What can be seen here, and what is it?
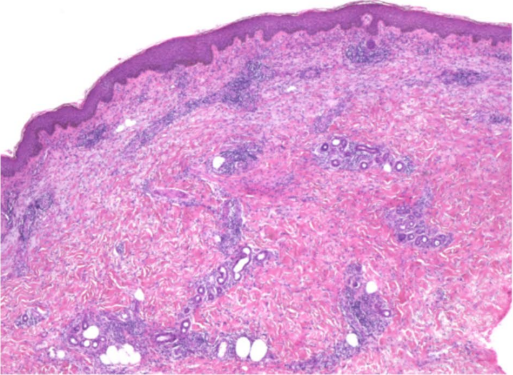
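This is a low-power view of skin. A thin purple epidermis lies along the top, and below it is a broad pink dermis of collagen bundles. Scattered through the dermis are dense dark purple collections of small round nuclei, and they gather around small vessels and clustered gland-like tubules. This pattern is a perivascular lymphocytic infiltrate in the dermis.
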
